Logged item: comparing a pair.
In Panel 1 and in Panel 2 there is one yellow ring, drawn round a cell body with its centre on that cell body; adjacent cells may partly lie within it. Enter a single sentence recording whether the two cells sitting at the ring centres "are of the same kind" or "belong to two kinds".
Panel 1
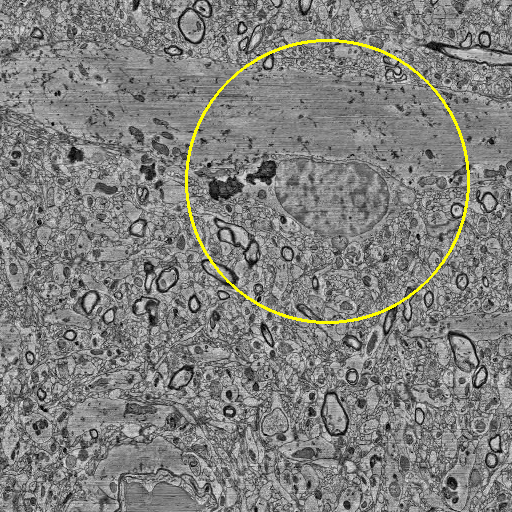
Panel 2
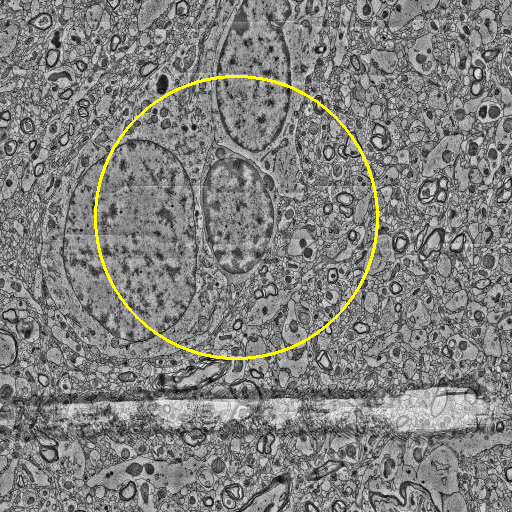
Logged: the cells centred in the rings of Panel 1 and Panel 2 are of the same kind.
